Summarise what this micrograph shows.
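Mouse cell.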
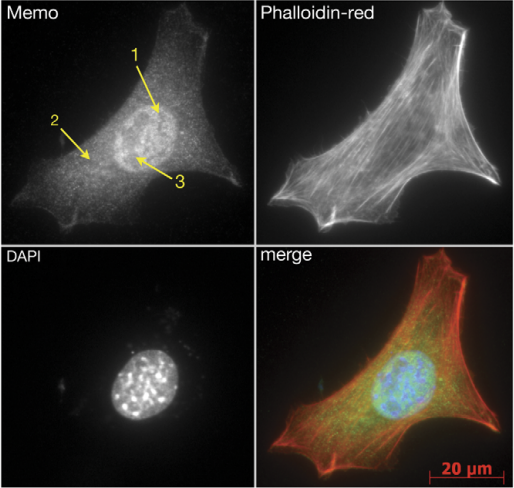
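In the red image, long straight filament bundles run across the whole cell body and line its edges. The oval nucleus sits near the centre and in the blue image shows many small bright spots. The green label fills both the cytoplasm and the nucleus with a fine granular pattern, while small dark spots inside the nucleus stay unlabelled.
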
